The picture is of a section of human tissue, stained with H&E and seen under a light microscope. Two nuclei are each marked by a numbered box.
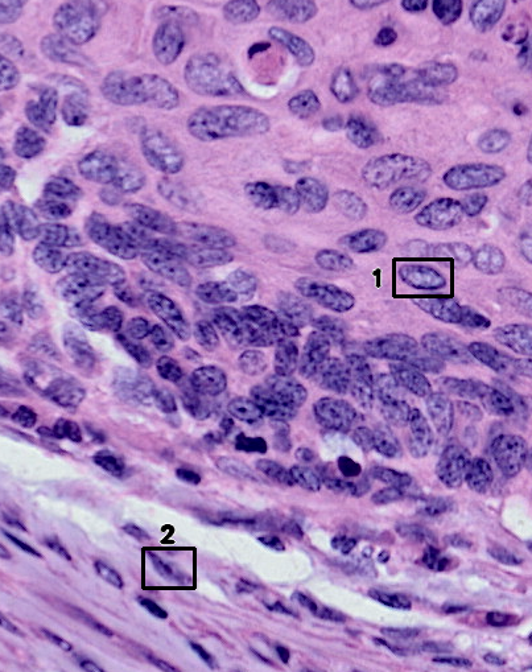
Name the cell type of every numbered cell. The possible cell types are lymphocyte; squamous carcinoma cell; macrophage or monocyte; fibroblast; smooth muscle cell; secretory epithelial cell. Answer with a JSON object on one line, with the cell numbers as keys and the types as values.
{"1": "squamous carcinoma cell", "2": "fibroblast"}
